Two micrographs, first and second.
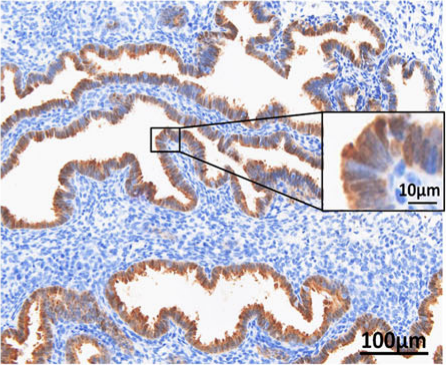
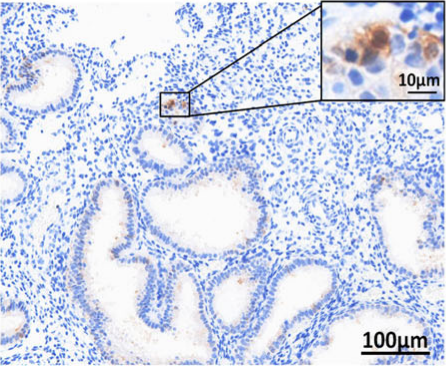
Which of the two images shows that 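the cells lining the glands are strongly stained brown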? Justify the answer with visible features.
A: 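The first image. Second image: the gland linings are blue, with only a faint trace of brown and a few brown cells in the stroma.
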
